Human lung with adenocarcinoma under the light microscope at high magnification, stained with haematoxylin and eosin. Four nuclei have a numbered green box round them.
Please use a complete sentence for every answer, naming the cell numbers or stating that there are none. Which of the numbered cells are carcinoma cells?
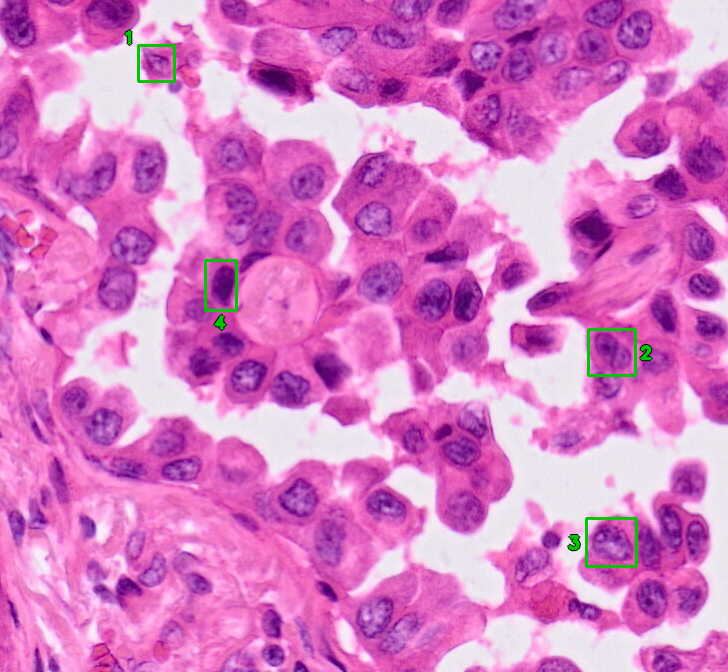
To be specific, the cells numbered 2, 3 and 4 are carcinoma cells.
